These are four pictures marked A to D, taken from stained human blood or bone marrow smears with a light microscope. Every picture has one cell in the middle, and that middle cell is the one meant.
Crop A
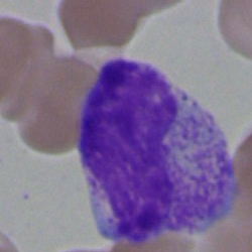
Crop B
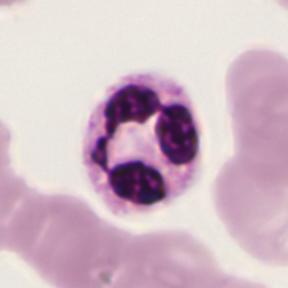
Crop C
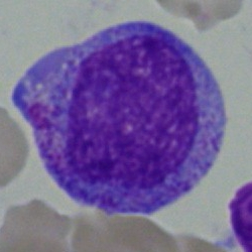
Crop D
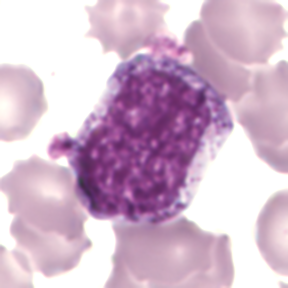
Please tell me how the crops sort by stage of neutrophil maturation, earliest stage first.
C, D, A, B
